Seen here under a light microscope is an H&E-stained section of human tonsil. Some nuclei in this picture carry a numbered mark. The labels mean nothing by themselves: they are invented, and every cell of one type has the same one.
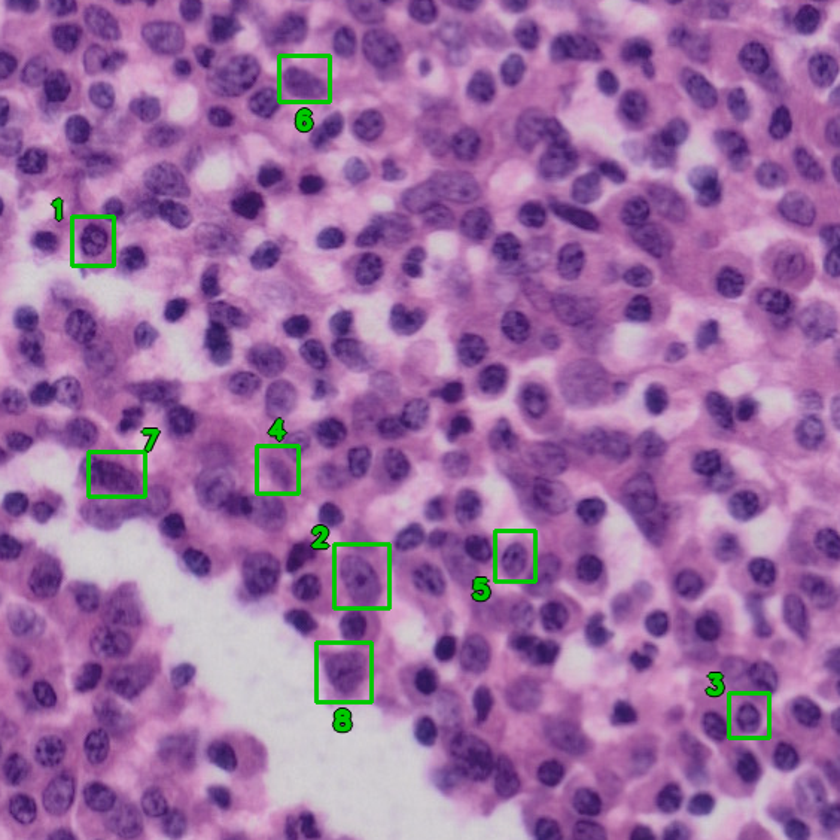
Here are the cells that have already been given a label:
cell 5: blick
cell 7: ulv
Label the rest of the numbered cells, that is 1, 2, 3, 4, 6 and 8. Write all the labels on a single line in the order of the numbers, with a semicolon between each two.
blick; ulv; blick; ulv; ulv; ulv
